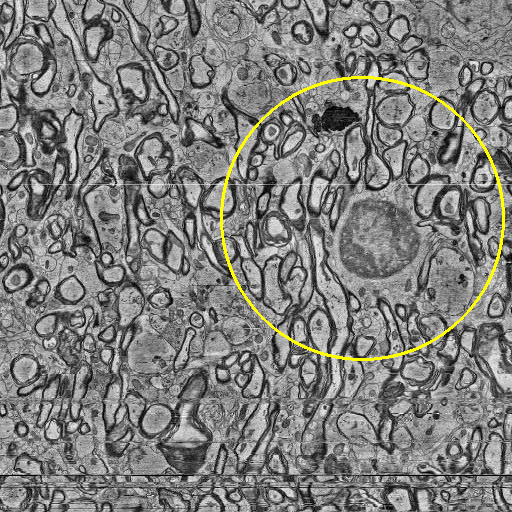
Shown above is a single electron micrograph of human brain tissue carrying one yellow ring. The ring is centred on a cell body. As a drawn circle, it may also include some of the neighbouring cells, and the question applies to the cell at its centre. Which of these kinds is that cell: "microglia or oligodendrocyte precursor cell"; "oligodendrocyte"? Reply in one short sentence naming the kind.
The cell marked by the ring is an oligodendrocyte.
